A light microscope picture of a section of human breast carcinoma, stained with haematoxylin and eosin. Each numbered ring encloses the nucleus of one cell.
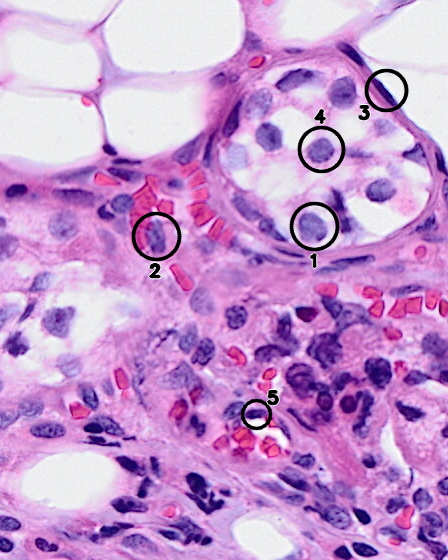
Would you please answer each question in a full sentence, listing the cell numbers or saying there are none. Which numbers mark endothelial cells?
The cells referred to by numbers 2, 3 and 5 are endothelial cells.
